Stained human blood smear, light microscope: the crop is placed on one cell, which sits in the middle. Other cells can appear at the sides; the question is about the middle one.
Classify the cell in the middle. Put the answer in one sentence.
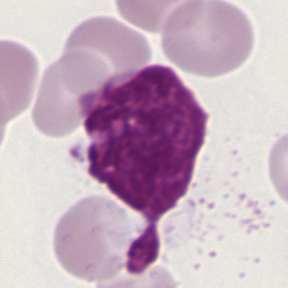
Centred in the crop is a smudge cell.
